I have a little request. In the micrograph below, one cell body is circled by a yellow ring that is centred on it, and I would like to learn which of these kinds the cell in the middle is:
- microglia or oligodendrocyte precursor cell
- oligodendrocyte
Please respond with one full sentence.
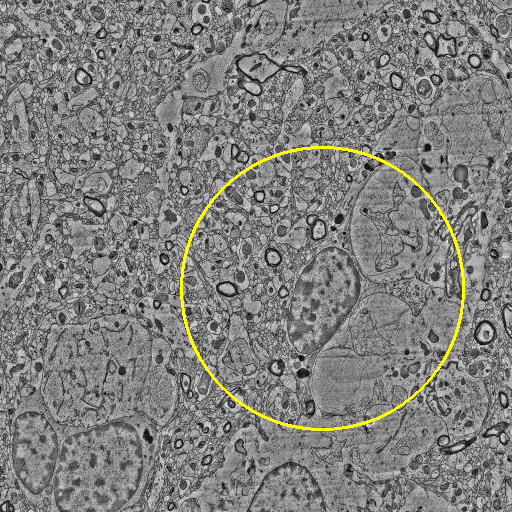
The cell sitting in the middle of the yellow ring in the micrograph is a microglial cell or oligodendrocyte precursor cell.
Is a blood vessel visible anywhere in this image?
Yes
